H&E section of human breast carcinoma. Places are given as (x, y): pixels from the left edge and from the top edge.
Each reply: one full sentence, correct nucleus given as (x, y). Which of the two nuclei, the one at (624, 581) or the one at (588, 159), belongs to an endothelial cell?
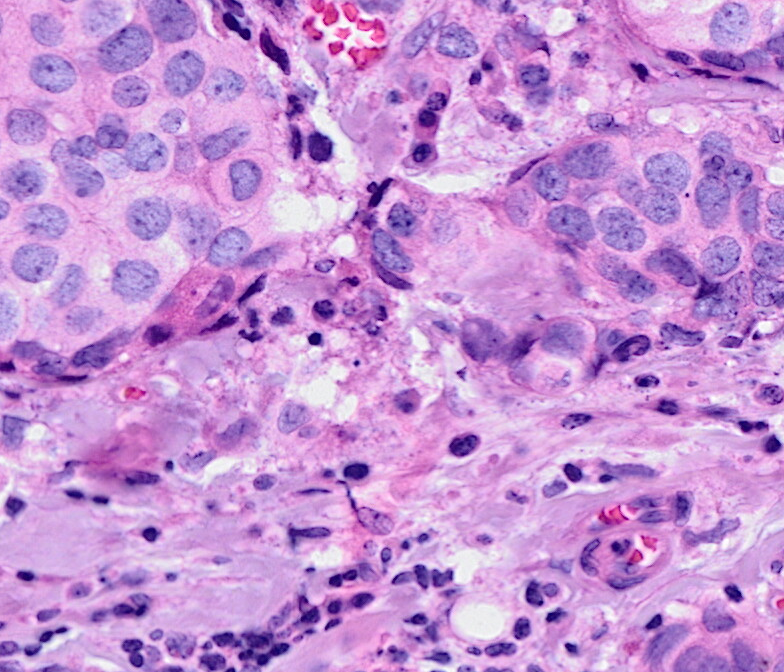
Of the two candidate nuclei, the one at (624, 581) is that of an endothelial cell.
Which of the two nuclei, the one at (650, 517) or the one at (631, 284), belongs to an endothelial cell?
The nucleus positioned at (650, 517) forms part of an endothelial cell.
